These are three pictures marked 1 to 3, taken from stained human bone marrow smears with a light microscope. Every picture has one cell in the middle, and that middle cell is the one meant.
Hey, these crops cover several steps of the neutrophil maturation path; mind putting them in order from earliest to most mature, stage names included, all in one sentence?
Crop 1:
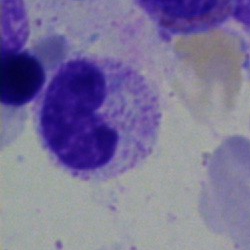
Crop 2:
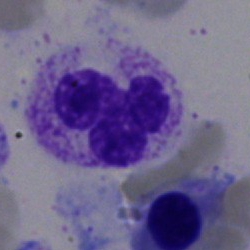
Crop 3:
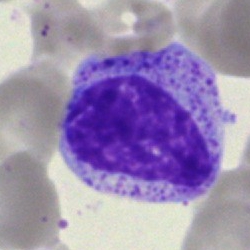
In terms of maturity, from lowest to highest, the order reads crop 3 (a myelocyte), crop 1 (a band neutrophil) and crop 2 (a segmented neutrophil).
